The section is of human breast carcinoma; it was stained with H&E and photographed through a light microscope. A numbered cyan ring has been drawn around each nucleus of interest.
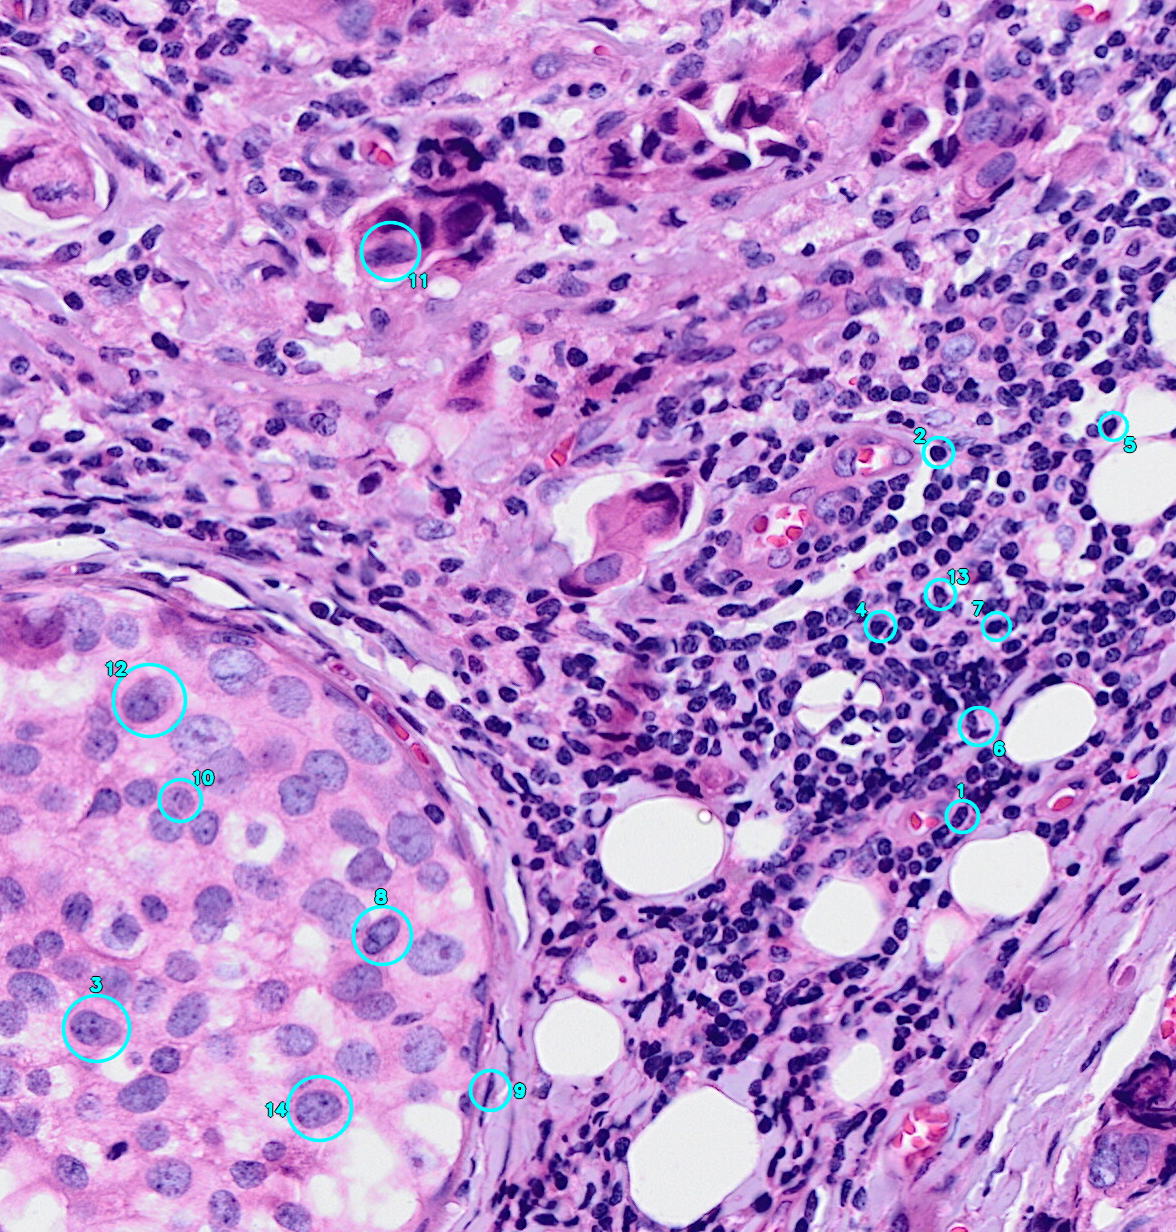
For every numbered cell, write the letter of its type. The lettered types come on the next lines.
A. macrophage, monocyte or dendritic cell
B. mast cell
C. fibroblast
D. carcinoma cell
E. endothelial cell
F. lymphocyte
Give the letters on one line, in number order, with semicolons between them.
F; F; D; F; F; F; F; D; C; D; D; D; F; D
